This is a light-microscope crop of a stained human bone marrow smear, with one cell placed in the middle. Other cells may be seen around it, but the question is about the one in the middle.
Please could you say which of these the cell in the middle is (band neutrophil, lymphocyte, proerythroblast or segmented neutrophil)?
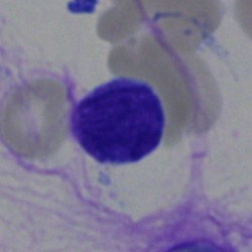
lymphocyte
